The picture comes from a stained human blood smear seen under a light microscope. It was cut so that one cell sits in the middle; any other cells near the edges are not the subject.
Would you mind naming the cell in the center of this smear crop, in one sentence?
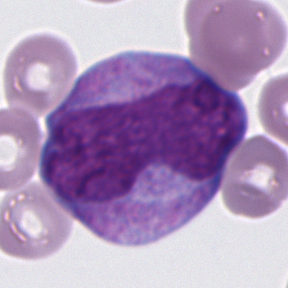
The crop shows an atypical promyelocyte in its centre.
